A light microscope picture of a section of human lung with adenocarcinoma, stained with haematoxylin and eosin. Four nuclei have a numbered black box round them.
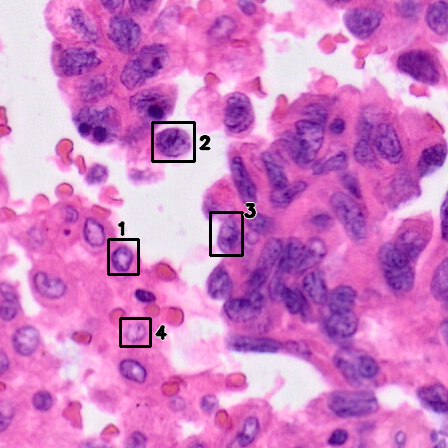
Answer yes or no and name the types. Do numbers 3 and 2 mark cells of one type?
Yes, both are carcinoma cells.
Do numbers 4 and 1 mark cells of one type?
Yes, both are macrophages or monocytes.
